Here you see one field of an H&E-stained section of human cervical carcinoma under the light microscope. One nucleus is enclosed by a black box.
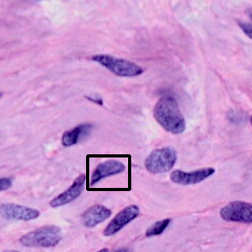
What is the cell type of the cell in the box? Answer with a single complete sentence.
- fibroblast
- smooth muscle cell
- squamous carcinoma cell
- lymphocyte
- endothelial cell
Cell type answer for this item: the cell in the box is a fibroblast.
